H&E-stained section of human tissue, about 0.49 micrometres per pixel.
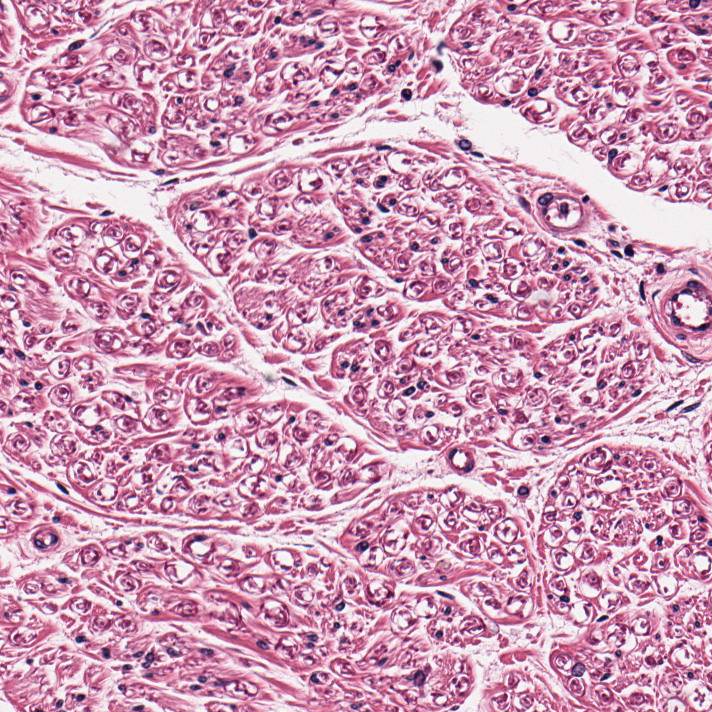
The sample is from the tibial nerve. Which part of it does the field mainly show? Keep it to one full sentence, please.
This section of human tissue is of the part termed nerve fascicle.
